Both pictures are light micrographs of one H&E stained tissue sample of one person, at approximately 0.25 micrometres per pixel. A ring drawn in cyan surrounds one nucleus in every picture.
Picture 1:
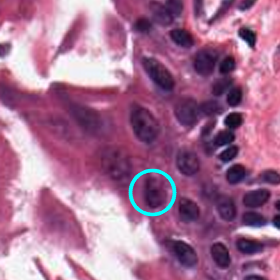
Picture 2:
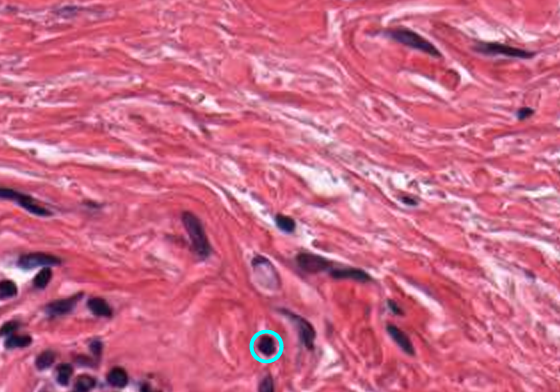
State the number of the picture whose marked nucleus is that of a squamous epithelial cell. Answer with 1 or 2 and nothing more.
1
